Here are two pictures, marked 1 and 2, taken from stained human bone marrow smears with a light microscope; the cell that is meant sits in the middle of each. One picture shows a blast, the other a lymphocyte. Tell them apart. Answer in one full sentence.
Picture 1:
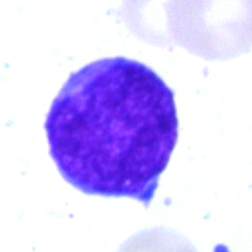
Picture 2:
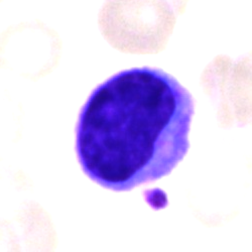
The cell in picture 1 is a blast, and the one in picture 2 is a lymphocyte.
